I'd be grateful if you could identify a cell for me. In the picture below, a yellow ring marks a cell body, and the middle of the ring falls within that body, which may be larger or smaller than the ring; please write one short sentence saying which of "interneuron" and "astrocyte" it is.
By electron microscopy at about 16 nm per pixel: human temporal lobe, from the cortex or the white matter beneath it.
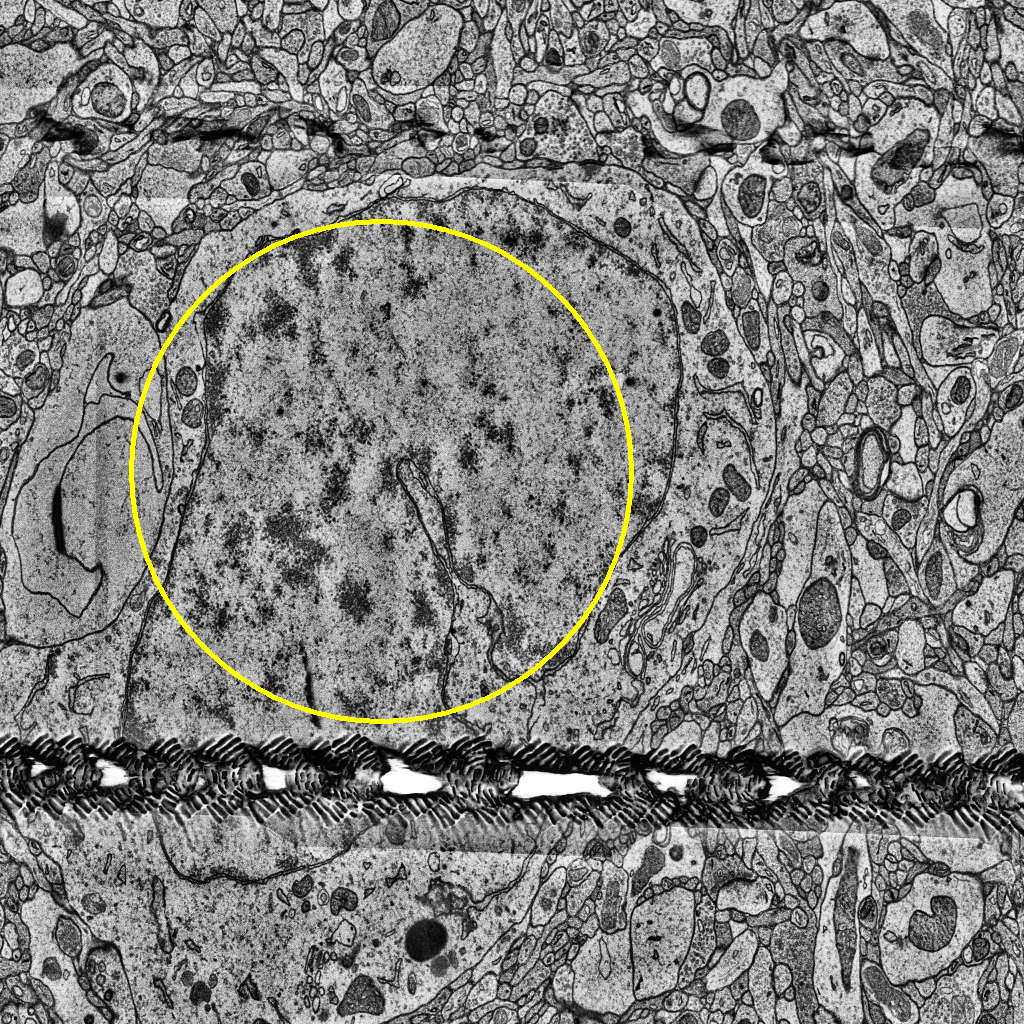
The cell under the ring's centre is an interneuron.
